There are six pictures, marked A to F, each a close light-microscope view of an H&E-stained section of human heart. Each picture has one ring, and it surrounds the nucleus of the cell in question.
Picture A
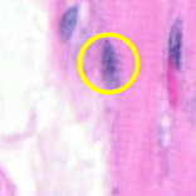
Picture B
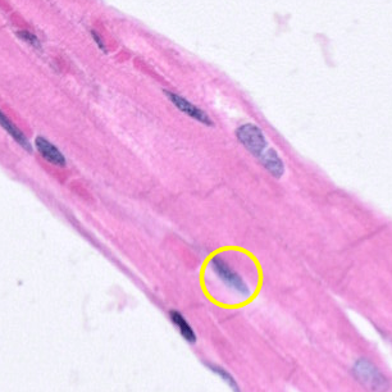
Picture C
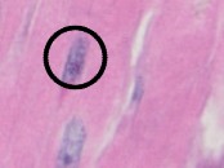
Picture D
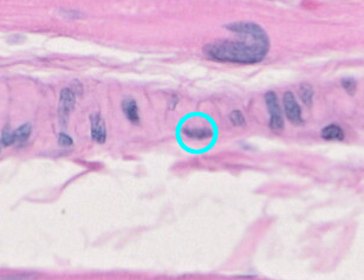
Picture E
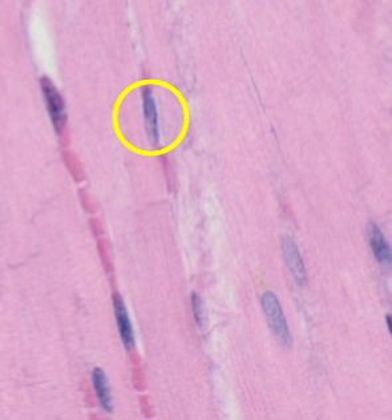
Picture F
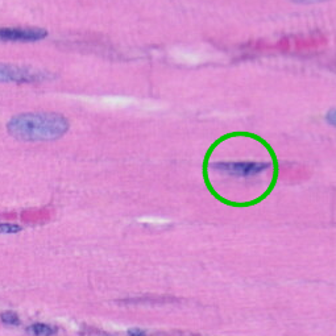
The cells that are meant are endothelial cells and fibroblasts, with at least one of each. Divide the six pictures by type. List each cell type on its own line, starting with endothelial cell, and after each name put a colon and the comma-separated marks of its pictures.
endothelial cell: C, E, F
fibroblast: A, B, D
